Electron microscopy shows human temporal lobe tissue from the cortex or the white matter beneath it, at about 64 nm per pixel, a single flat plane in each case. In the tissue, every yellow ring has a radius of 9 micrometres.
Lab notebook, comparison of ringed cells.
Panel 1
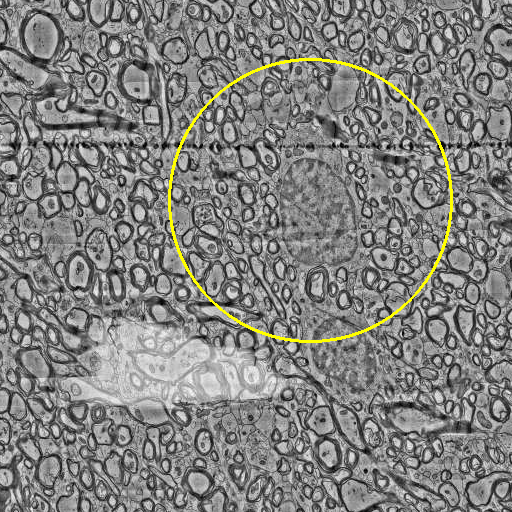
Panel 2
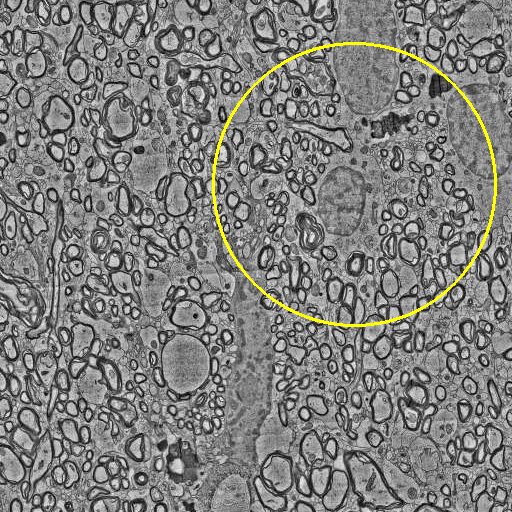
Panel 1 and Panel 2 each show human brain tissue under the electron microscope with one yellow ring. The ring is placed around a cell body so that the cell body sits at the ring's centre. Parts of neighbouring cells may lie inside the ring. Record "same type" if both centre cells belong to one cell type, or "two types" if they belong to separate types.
same type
